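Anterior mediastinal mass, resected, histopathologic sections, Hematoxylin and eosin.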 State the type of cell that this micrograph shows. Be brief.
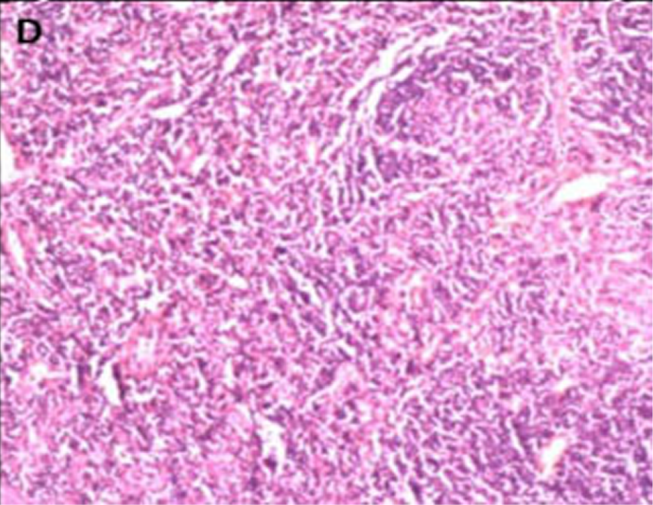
small lymphocytes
